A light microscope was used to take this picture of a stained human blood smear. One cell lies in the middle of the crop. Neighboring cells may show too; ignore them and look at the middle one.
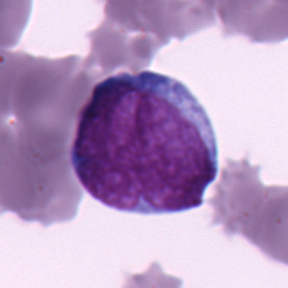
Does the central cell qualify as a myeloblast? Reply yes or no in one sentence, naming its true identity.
Yes, that is a myeloblast in the middle of the crop.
